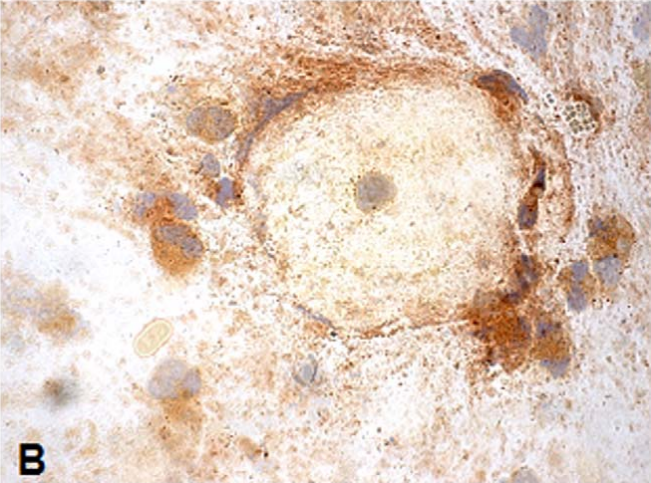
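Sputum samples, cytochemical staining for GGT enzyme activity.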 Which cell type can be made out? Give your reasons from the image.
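Epithelial cell. One large polygonal cell with abundant pale cytoplasm occupies the centre. It has a single small round nucleus in the middle. Its cytoplasm is largely unstained compared with the smaller cells around it.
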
